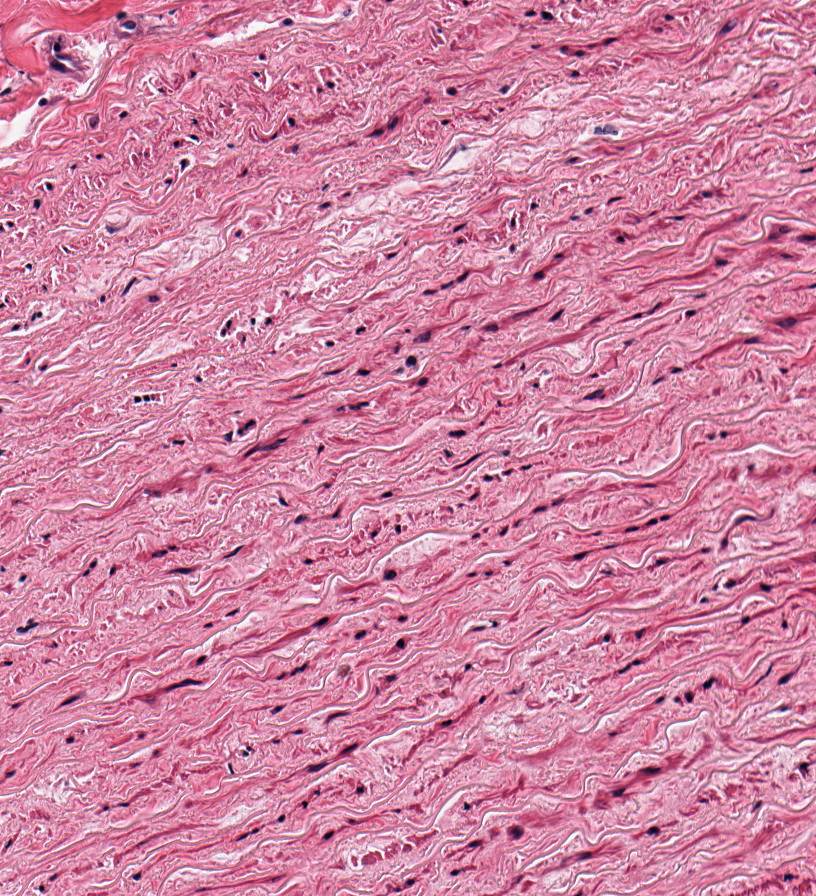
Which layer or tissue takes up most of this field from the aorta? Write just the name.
tunica media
